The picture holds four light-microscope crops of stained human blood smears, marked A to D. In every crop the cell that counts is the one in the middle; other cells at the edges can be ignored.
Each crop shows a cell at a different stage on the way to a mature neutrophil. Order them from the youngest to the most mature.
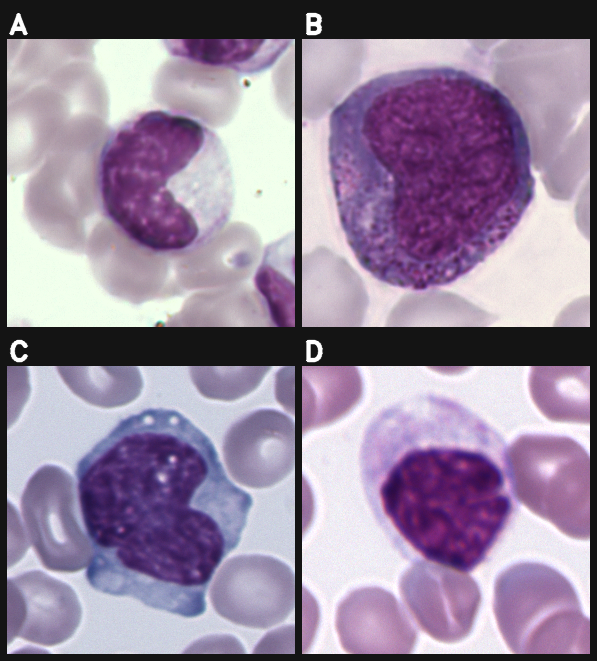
C, B, A, D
